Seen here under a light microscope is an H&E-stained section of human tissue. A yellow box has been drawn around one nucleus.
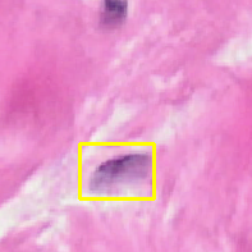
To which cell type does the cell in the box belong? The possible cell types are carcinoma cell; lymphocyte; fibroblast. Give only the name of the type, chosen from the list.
fibroblast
